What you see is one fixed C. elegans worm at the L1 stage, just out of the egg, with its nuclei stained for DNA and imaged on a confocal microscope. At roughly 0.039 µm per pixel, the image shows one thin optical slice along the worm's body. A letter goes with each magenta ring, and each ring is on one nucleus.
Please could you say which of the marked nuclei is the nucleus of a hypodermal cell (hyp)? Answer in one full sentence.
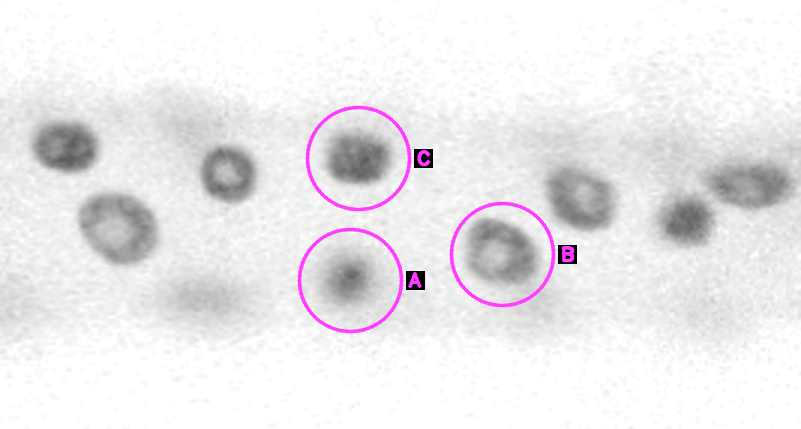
Of the marked nuclei, B is the one in a hypodermal cell (hyp).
